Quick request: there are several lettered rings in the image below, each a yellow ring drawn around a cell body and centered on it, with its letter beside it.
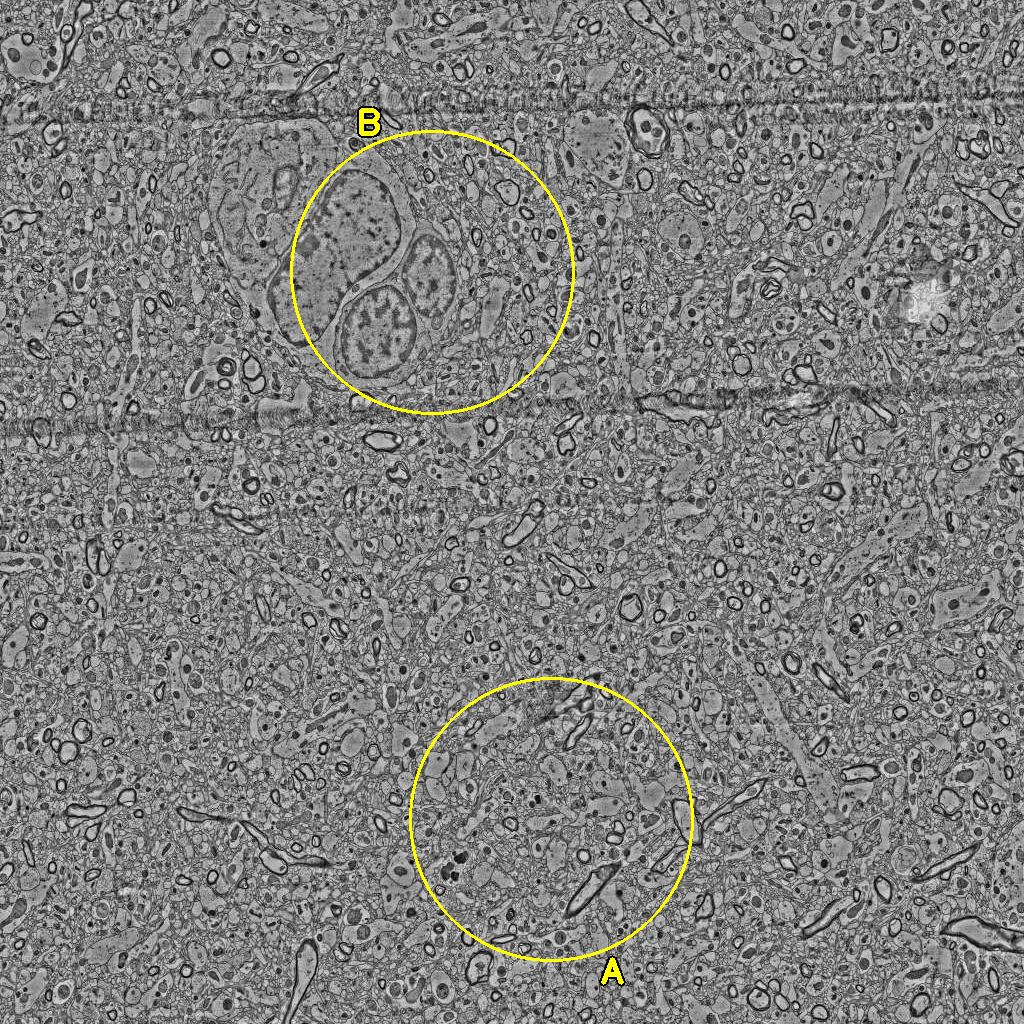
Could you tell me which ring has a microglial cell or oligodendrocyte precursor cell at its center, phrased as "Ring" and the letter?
Ring A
